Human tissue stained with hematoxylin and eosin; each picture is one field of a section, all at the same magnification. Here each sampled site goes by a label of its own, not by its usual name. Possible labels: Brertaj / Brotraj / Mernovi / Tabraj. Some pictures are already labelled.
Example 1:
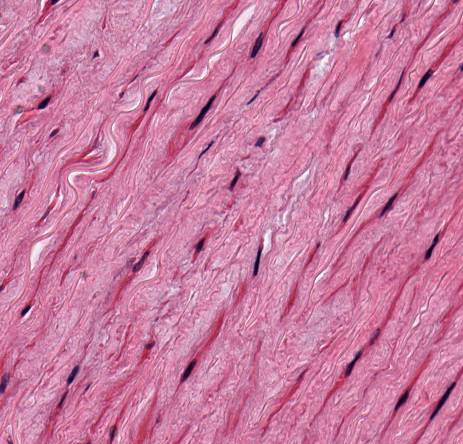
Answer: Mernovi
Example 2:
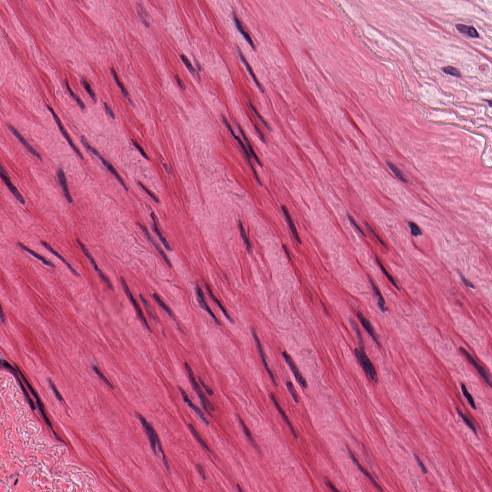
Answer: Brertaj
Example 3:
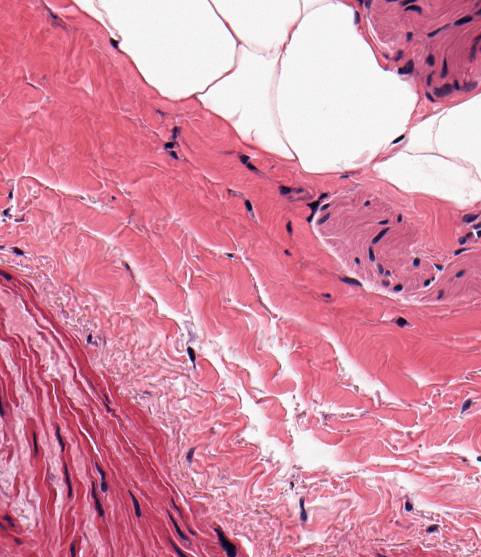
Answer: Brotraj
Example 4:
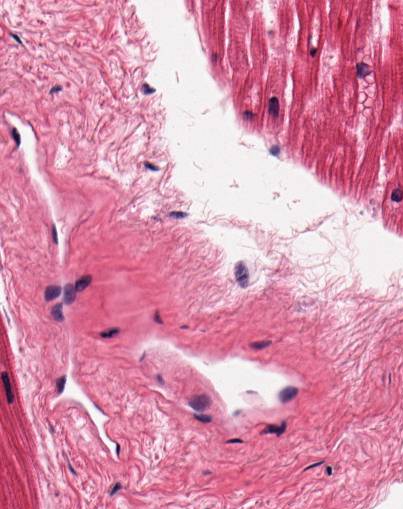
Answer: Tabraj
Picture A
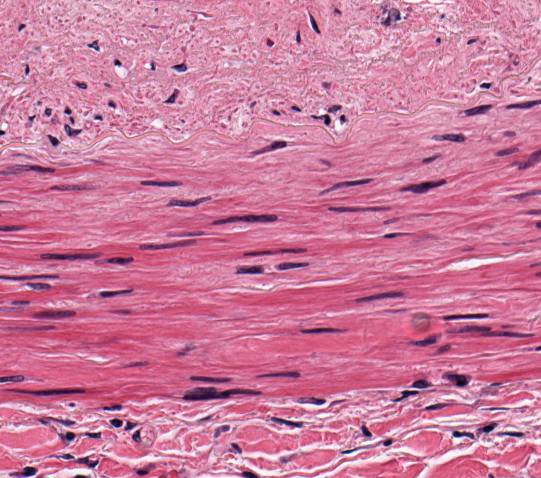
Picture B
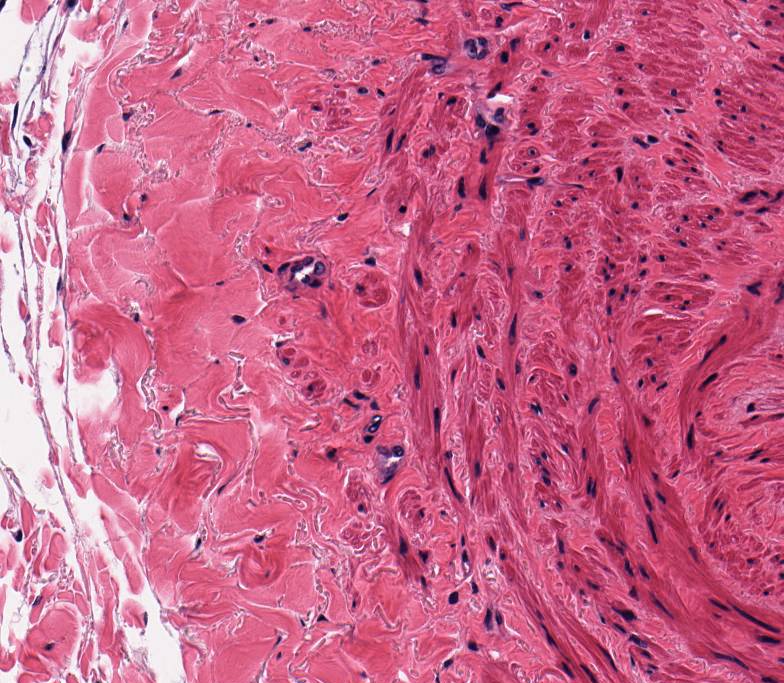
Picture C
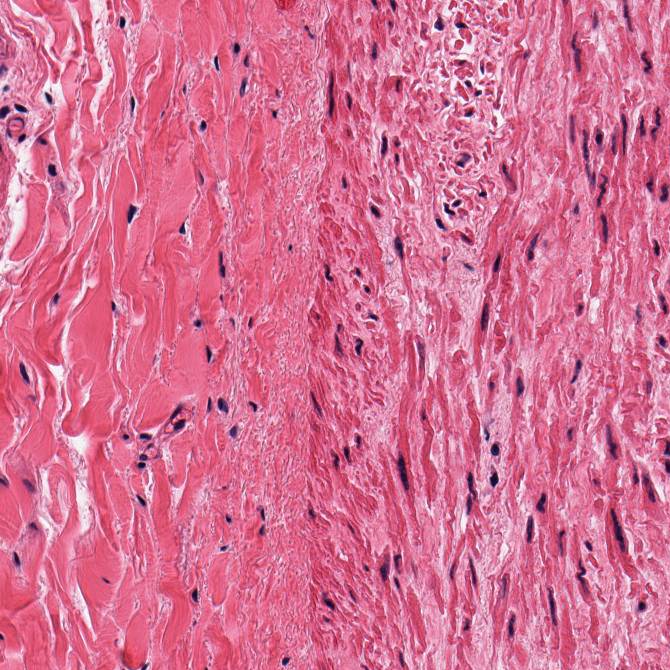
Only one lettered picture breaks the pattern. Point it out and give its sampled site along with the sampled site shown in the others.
Exception: B, showing Brertaj. Remaining pictures: Brotraj.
